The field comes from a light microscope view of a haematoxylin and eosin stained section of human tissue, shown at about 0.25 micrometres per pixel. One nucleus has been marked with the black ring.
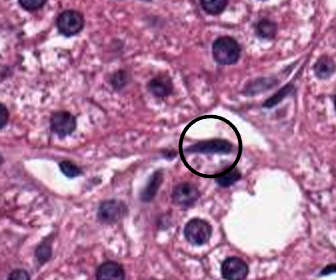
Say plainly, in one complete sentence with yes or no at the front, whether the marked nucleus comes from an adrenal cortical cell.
No, that the marked nucleus belongs to an adrenal cortical cell does not hold; it belongs to a supporting cell.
